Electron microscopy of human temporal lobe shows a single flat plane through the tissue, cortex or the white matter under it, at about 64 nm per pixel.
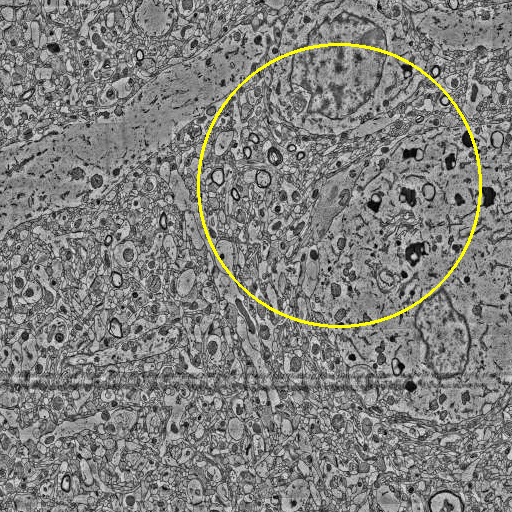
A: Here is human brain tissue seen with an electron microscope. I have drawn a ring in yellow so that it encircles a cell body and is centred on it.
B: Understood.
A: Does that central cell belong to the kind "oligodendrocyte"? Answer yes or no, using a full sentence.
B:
Yes, the central cell inside your yellow ring belongs to that kind.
